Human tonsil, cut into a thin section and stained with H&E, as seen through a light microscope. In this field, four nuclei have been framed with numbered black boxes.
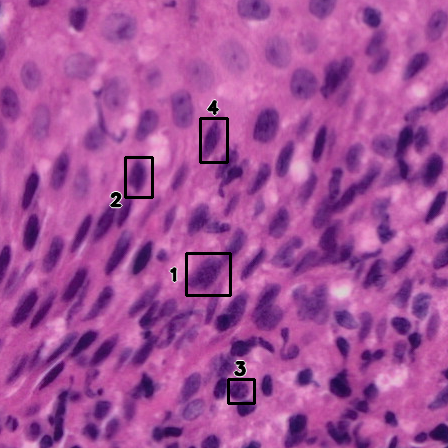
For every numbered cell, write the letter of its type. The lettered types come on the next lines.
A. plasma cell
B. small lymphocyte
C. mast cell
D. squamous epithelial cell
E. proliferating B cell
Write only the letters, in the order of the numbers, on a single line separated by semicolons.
D; D; A; D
